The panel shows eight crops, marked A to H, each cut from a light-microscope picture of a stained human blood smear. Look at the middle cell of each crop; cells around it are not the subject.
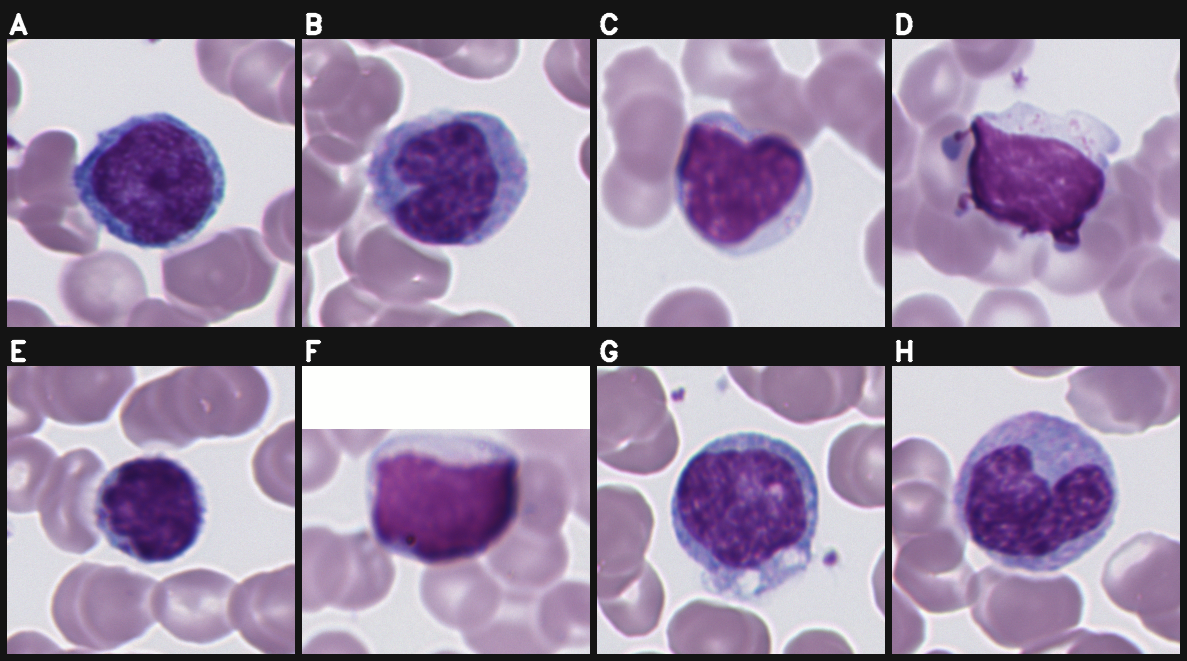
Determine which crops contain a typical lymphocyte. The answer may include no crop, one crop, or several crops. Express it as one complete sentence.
It is crop E, and no other, that shows a typical lymphocyte.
